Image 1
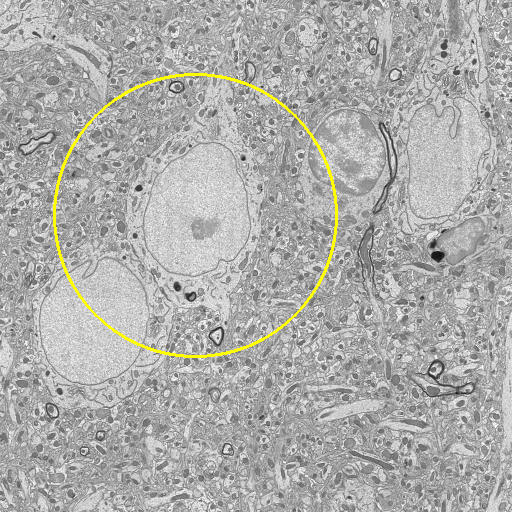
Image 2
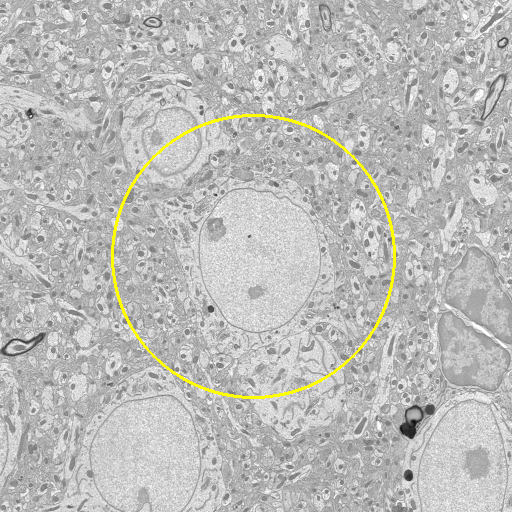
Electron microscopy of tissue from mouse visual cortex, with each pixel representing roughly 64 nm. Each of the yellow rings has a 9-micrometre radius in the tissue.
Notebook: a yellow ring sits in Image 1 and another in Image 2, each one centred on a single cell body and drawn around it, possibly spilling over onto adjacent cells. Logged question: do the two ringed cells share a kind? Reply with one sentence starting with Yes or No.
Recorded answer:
Yes, both centre cells inside the rings of Image 1 and Image 2 share one kind.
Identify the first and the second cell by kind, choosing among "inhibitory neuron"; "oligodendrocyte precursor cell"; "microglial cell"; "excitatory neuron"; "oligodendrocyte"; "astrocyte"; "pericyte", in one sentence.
Each of the ringed cells, first and second, is an excitatory neuron.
